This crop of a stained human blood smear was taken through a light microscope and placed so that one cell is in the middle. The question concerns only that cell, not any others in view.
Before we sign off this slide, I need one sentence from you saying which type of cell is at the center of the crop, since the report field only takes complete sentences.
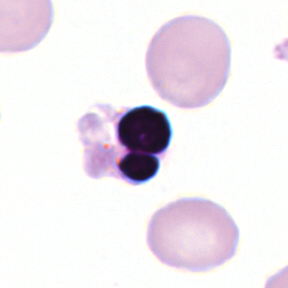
The cell in the middle of the field of view is a normoblast.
